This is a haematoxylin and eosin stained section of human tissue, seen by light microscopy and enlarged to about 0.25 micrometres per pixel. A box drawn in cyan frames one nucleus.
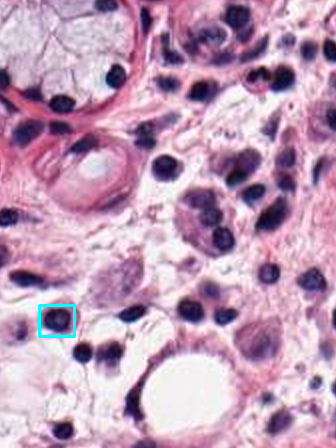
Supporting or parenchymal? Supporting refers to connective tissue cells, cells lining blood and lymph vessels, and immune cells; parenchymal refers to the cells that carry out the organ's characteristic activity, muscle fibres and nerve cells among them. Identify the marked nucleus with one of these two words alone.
supporting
